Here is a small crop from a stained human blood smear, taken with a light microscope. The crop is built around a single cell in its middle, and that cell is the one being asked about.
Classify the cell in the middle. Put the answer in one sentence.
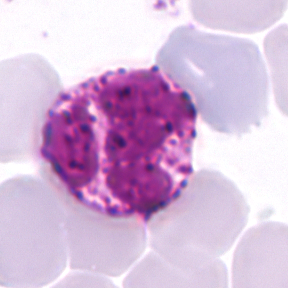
Seen at the centre of the crop is a basophil.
